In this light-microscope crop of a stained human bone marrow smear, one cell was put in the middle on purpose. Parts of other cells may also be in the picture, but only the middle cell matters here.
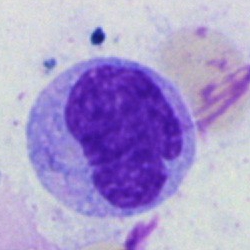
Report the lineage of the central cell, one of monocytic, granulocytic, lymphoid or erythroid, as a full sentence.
The lineage represented by the central cell is monocytic.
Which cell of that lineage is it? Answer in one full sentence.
By type, the central cell of the crop is a monocyte.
